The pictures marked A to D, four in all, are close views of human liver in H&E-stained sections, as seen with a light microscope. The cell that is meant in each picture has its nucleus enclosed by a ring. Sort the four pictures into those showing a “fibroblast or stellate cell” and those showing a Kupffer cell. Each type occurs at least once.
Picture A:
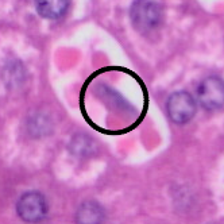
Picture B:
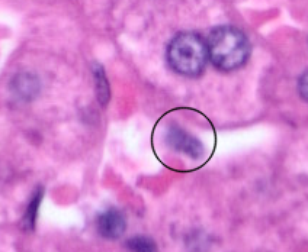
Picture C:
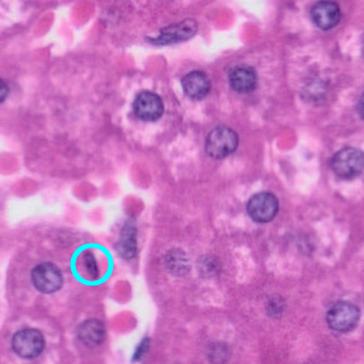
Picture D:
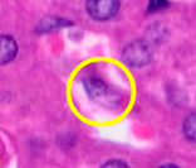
A: Kupffer cell
B: Kupffer cell
C: fibroblast or stellate cell
D: Kupffer cell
